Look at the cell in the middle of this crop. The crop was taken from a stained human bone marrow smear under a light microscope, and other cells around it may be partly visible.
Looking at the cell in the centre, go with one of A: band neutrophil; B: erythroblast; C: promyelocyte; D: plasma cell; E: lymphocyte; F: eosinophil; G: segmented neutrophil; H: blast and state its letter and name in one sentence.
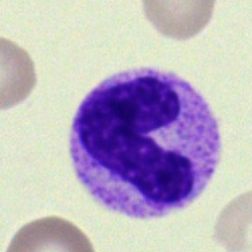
The middle cell of the crop is a band neutrophil; accordingly, option A is correct.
